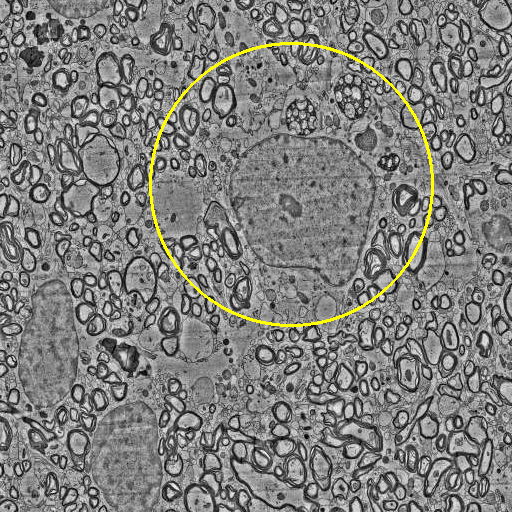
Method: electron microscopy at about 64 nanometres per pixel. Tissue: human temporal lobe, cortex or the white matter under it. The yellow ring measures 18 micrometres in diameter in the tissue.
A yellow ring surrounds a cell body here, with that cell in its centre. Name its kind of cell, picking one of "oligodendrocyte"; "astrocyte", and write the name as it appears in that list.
astrocyte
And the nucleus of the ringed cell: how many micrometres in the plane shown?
In this plane, roughly 10 micrometres across.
